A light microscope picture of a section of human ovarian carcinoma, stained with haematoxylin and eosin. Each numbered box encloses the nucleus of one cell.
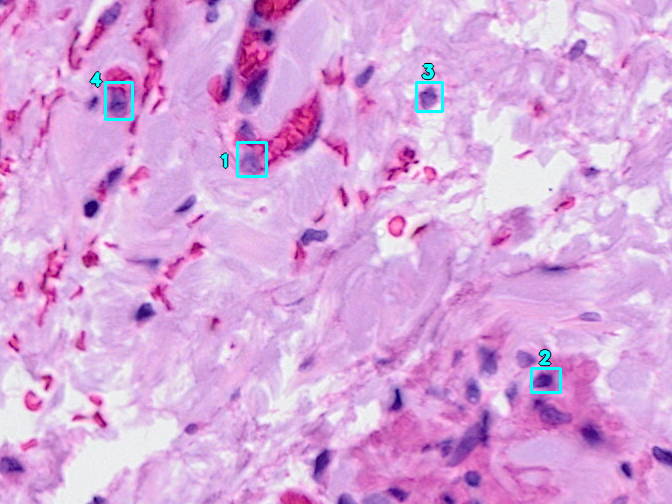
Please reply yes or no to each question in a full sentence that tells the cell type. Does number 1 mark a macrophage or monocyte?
No, the cell tagged 1 is an endothelial cell, not a macrophage or monocyte.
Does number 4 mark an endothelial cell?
Yes, the cell that bears the number 4 is an endothelial cell.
